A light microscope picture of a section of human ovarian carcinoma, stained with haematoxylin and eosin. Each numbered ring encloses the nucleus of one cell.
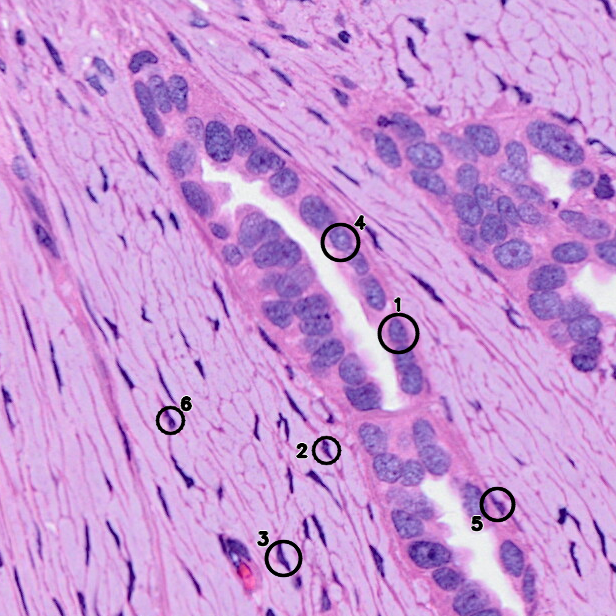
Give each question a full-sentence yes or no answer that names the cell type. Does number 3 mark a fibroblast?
Yes, the cell corresponding to number 3 is a fibroblast.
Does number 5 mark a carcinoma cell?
No, cell number 5 is identified as a fibroblast, not as a carcinoma cell.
